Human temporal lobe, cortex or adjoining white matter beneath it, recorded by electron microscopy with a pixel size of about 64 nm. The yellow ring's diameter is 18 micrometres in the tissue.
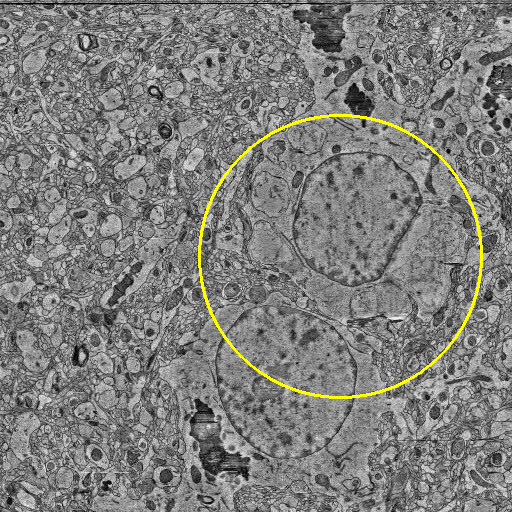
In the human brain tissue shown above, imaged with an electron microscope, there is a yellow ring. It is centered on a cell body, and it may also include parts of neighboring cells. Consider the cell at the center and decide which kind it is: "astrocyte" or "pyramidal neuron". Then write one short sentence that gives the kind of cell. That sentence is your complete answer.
This centered cell body is that of an astrocyte.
